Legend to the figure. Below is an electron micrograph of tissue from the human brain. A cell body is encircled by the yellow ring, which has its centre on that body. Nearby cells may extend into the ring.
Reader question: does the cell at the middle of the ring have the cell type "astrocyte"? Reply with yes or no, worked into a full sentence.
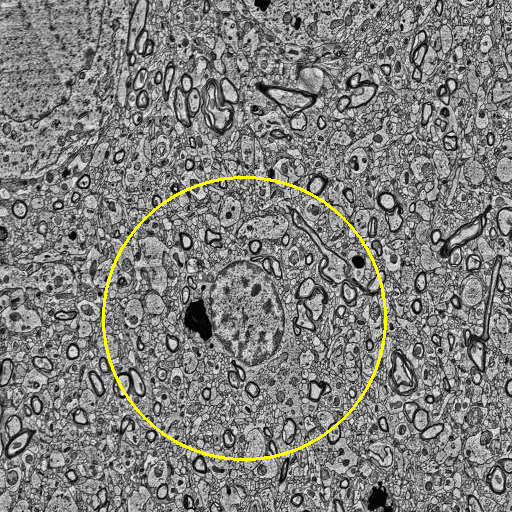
No, the cell sitting at the middle of the ring in the picture has another cell type.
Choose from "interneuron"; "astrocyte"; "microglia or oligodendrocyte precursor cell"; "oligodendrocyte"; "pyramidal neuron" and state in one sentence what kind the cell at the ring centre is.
Instead, the ringed cell here is an oligodendrocyte.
